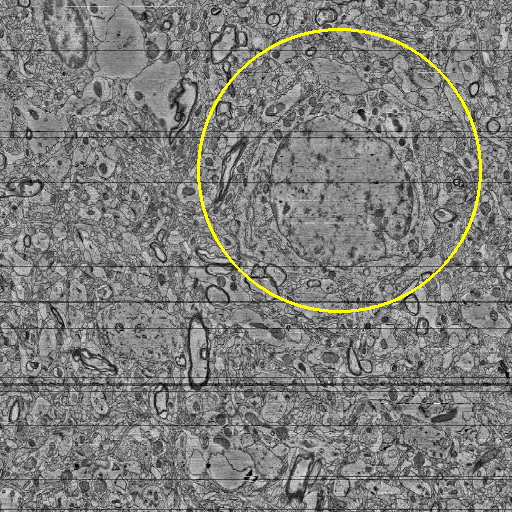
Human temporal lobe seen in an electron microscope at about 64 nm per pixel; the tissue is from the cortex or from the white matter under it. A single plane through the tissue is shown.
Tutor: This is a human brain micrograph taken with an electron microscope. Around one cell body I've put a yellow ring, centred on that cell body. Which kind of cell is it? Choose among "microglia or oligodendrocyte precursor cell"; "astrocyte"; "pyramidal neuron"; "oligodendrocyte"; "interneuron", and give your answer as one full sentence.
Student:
Going by your list, the cell centred in the yellow ring is an interneuron.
